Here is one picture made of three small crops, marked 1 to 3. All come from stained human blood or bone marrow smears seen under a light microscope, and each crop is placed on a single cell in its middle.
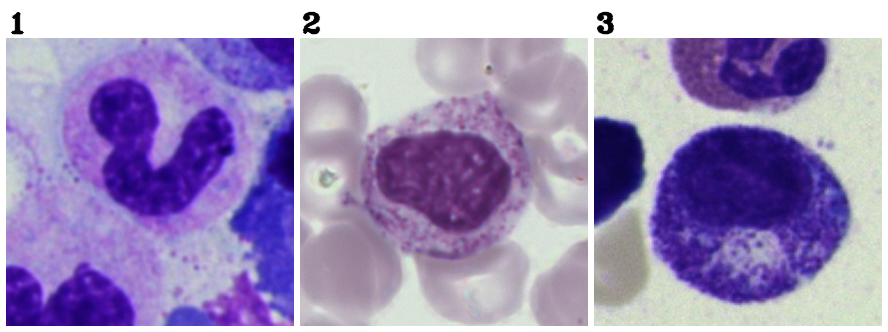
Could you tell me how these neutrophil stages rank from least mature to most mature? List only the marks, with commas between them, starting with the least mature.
3, 2, 1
